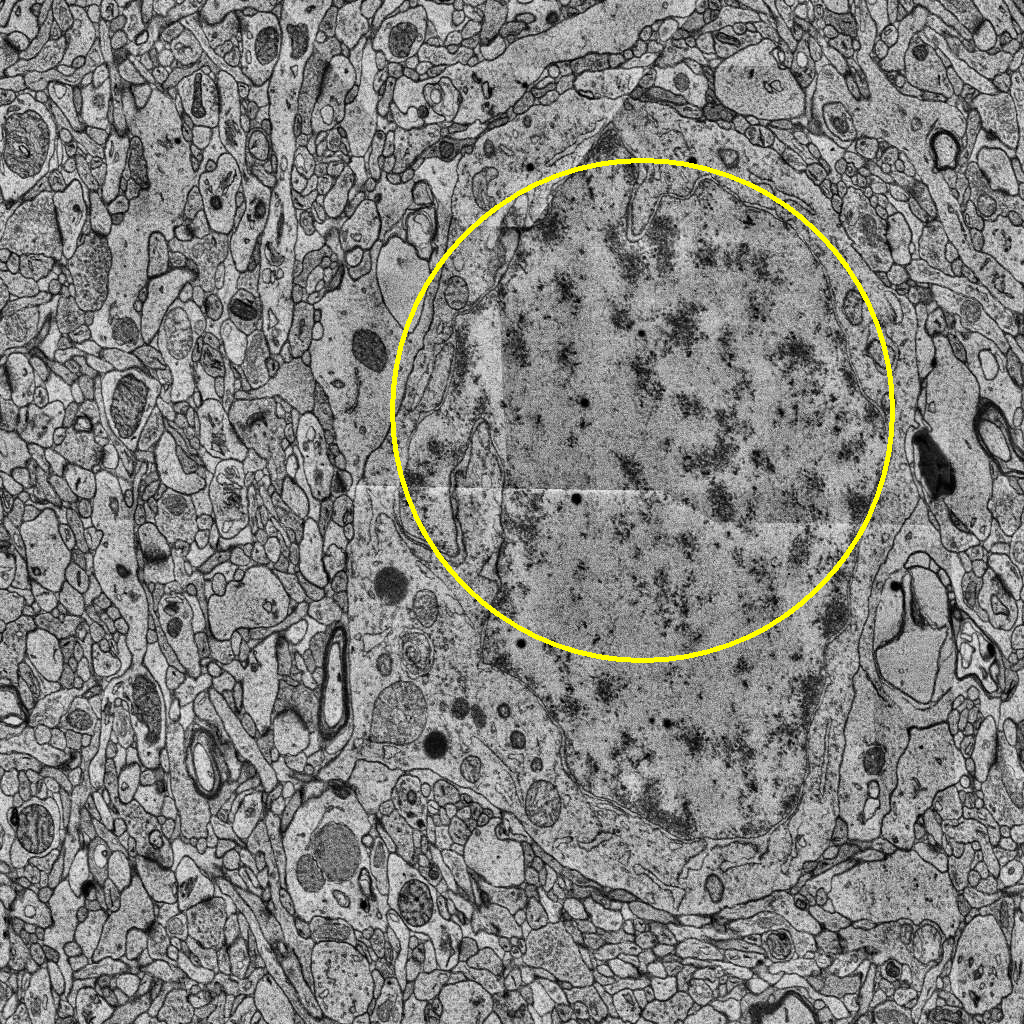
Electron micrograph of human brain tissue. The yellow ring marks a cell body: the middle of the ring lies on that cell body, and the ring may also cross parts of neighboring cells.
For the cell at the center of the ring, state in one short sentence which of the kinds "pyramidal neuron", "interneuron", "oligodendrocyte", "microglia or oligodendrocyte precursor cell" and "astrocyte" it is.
This ring's center lies on an interneuron.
